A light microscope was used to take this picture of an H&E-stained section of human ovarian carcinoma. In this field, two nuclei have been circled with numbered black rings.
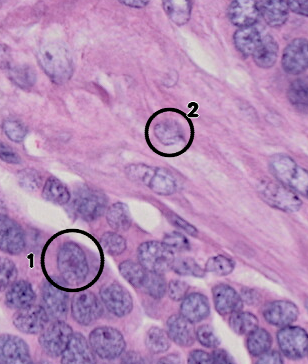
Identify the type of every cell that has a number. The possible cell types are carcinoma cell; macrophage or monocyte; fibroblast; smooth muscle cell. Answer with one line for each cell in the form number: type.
1: carcinoma cell
2: fibroblast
